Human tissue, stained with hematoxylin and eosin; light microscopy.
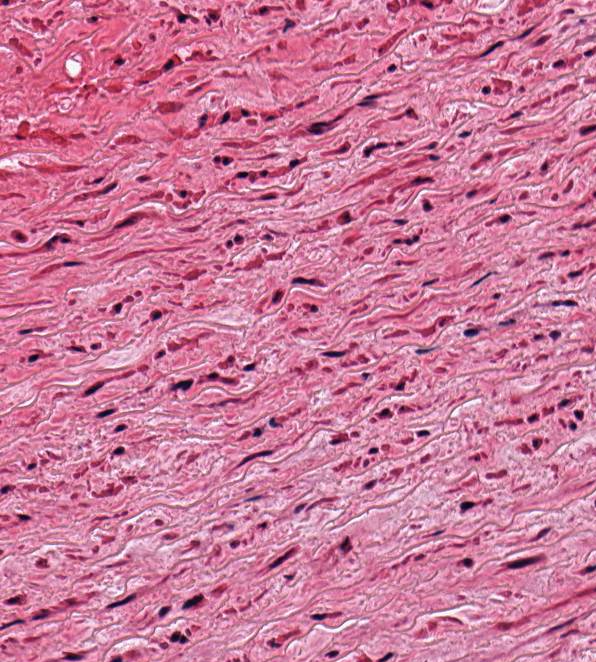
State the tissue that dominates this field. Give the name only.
tunica media of an artery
